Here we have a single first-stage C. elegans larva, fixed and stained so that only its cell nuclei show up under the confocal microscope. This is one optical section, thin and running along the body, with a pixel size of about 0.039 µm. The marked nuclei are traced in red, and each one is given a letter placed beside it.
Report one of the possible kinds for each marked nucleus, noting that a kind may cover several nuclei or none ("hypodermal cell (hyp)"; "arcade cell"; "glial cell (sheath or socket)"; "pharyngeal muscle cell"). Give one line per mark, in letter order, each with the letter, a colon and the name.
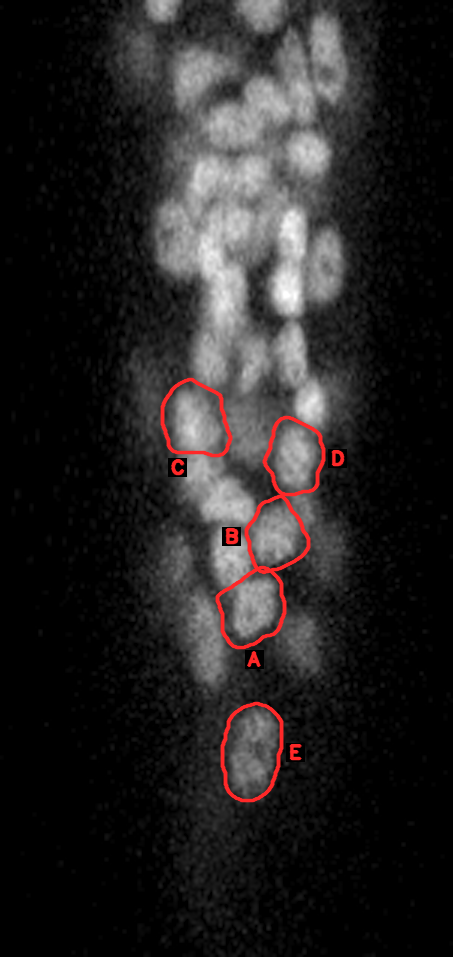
A: arcade cell
B: hypodermal cell (hyp)
C: glial cell (sheath or socket)
D: arcade cell
E: hypodermal cell (hyp)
